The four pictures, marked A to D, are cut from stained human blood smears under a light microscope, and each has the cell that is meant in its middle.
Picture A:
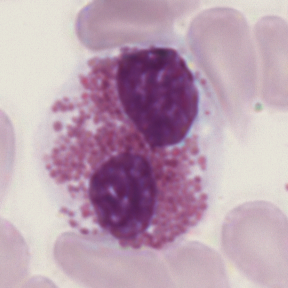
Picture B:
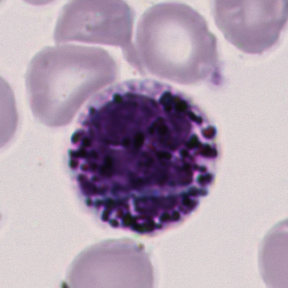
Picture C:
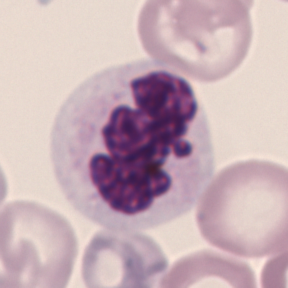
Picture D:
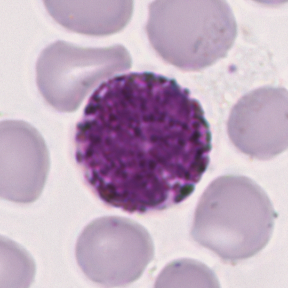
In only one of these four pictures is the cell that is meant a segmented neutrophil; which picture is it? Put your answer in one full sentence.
The segmented neutrophil is the one in picture C.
